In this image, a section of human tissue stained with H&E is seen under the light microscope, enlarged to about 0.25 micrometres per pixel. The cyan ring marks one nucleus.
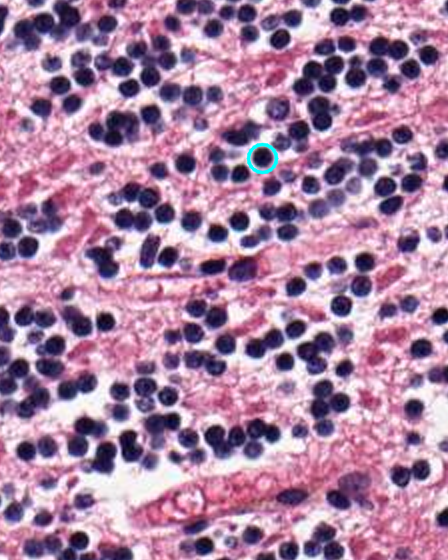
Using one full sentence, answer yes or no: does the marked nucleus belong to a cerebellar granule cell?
Yes, what is marked here is the nucleus of a cerebellar granule cell.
